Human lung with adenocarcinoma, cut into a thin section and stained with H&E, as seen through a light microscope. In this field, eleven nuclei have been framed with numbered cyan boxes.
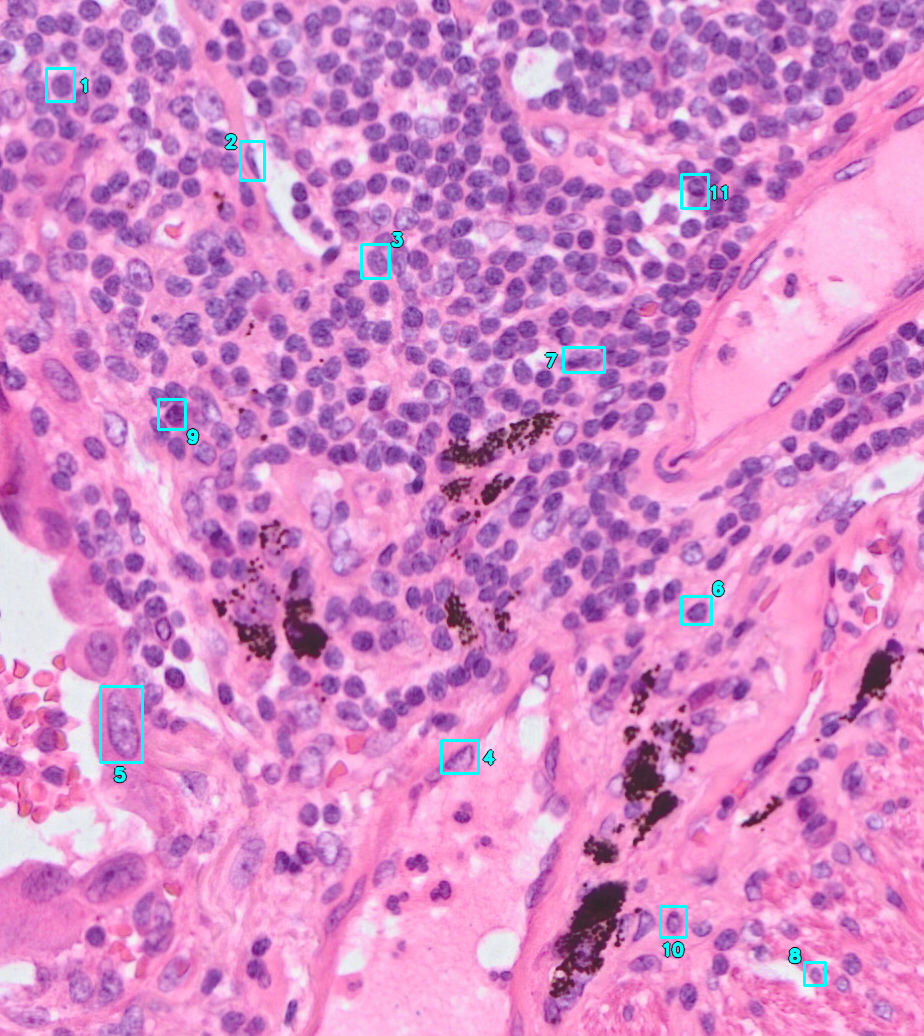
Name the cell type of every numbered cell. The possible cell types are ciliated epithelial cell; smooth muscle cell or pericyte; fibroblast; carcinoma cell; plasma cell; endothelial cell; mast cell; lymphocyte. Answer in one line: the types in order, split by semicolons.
lymphocyte; endothelial cell; lymphocyte; endothelial cell; carcinoma cell; mast cell; lymphocyte; smooth muscle cell or pericyte; plasma cell; mast cell; lymphocyte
